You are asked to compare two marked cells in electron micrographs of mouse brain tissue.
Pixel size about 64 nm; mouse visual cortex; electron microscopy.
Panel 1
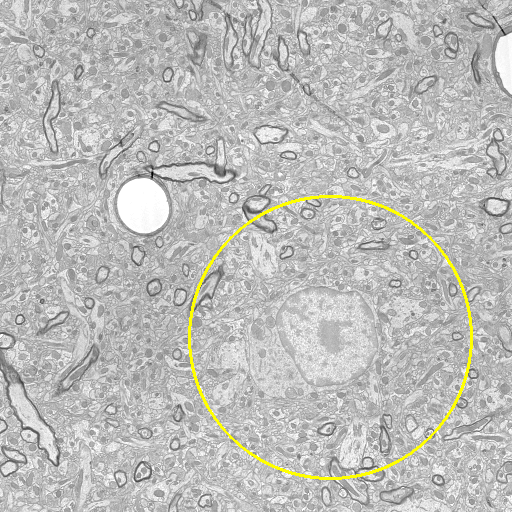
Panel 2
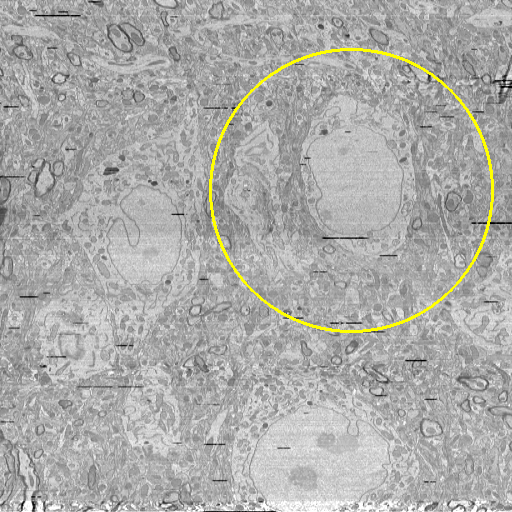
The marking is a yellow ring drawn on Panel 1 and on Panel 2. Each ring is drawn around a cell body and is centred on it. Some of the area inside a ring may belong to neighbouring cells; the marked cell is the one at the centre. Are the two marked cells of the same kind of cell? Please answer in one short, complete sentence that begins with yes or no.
No, the two marked cells are of two kinds.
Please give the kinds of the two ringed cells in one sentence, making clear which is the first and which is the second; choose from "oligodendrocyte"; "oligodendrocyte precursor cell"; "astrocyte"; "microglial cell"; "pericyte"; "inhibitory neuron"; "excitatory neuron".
In the second picture the ringed cell is an excitatory neuron; in the first it is an oligodendrocyte.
